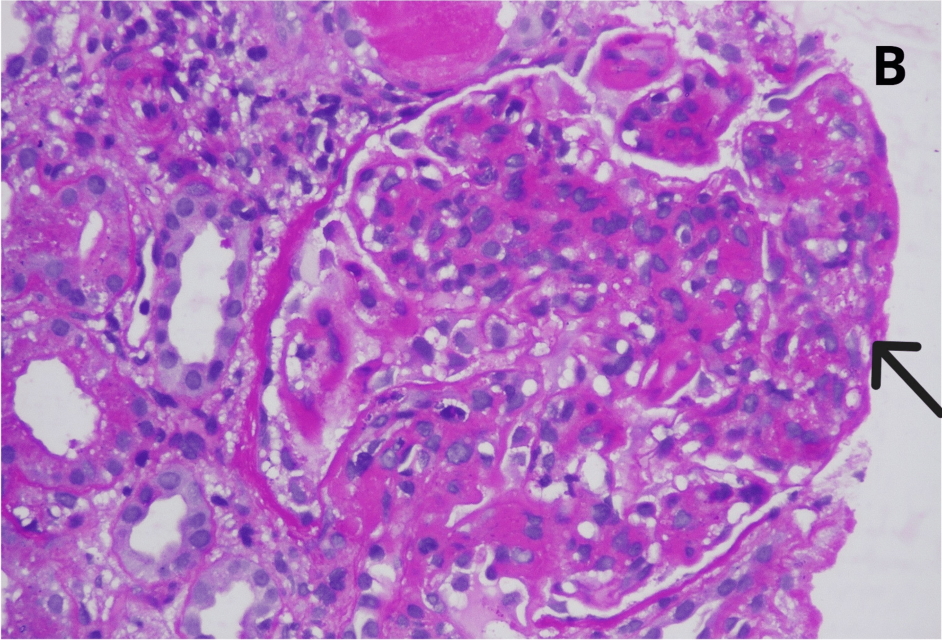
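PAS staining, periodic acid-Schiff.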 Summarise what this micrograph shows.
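Kidney cortex with a glomerulus beside tubules, basement membranes and matrix stained magenta. The glomerular tuft is hypercellular, with crowded nuclei and few open capillary loops. Tubules with cuboidal epithelium and an interstitium with scattered nuclei lie to the left.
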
